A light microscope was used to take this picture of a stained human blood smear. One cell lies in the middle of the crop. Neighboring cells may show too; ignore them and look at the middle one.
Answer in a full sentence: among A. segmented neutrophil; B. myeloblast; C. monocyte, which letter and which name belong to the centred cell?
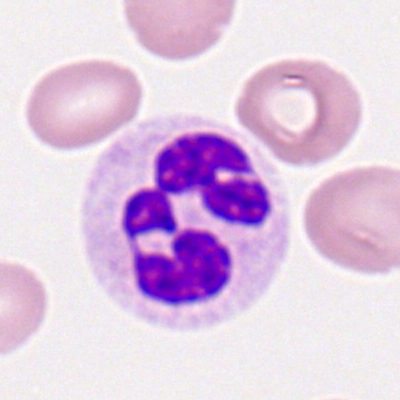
At the centre of the crop lies a segmented neutrophil, which makes option A correct.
